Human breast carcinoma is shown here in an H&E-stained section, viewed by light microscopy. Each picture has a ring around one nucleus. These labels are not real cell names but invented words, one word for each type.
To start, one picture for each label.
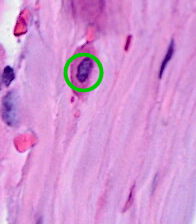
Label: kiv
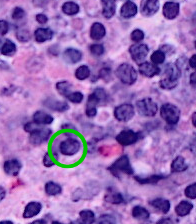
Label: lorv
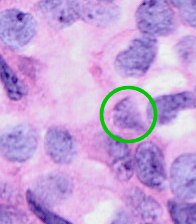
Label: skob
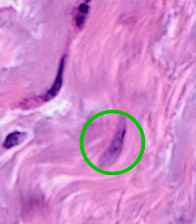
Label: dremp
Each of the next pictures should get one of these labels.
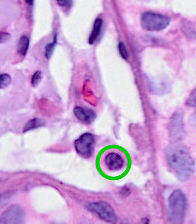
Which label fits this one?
kiv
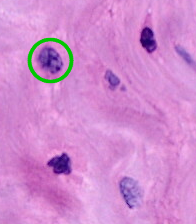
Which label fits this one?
kiv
